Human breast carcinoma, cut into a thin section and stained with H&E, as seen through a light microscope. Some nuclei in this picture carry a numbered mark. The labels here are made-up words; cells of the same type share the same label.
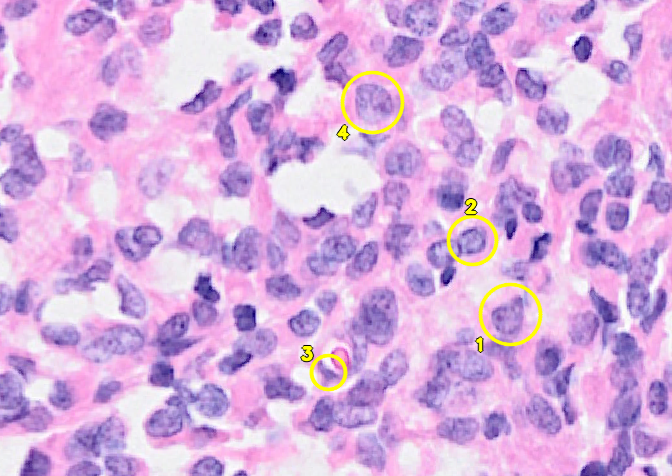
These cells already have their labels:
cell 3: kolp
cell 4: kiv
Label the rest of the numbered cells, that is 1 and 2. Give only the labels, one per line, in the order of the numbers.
kiv
kiv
